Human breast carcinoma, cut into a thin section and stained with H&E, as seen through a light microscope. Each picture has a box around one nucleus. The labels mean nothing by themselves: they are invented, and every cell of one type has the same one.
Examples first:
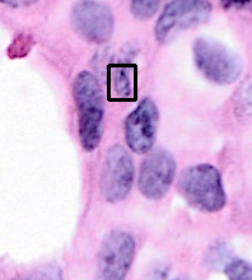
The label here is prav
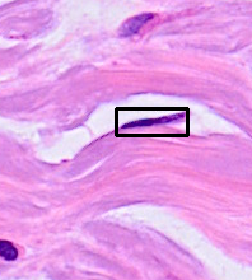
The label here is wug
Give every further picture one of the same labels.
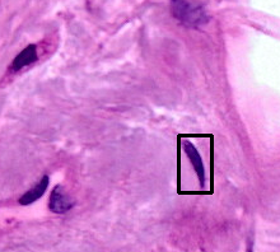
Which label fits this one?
wug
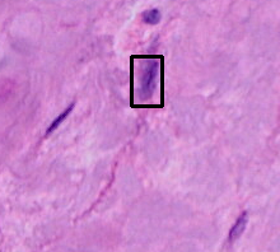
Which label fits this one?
wug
